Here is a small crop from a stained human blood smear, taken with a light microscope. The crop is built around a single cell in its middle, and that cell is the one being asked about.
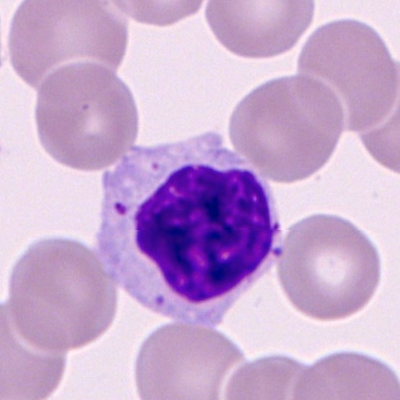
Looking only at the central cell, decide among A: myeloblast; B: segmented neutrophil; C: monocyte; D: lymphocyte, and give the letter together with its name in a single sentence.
The central cell of the crop is a lymphocyte, which makes D the correct option.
